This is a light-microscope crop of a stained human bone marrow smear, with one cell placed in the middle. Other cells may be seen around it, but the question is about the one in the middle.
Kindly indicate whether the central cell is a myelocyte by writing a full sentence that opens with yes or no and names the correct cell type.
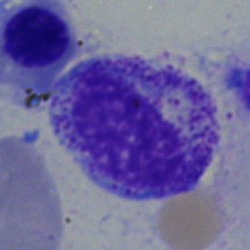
Yes, the central element of the crop is a myelocyte.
